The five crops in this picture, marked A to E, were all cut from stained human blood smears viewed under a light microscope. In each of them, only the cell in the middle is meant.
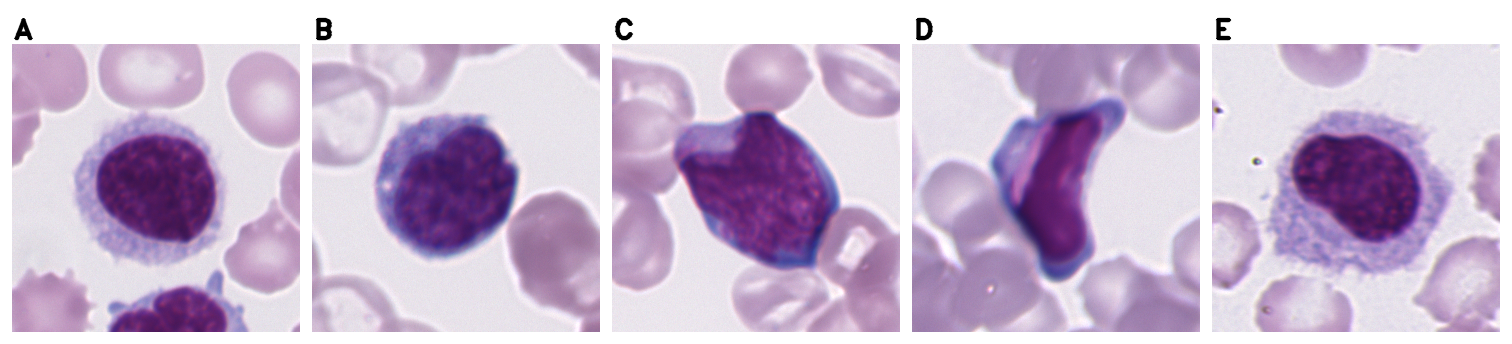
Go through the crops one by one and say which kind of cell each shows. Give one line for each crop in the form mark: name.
A: hairy cell
B: monocyte
C: myeloblast
D: typical lymphocyte
E: hairy cell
